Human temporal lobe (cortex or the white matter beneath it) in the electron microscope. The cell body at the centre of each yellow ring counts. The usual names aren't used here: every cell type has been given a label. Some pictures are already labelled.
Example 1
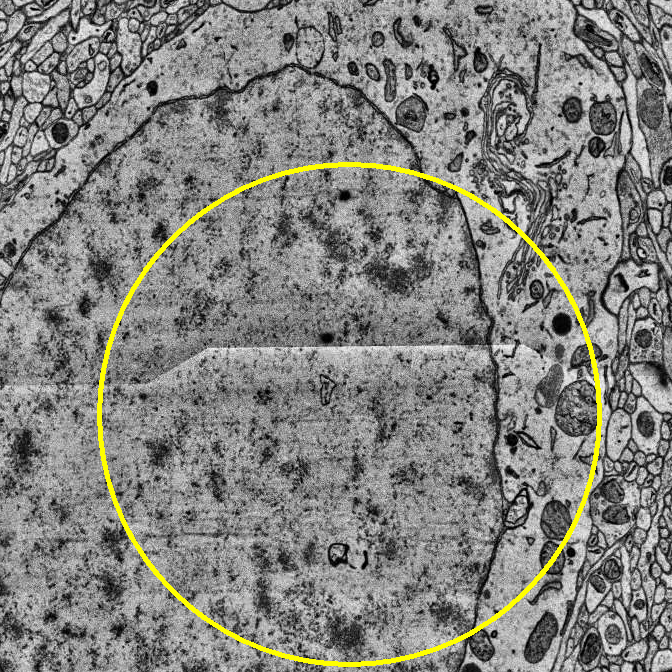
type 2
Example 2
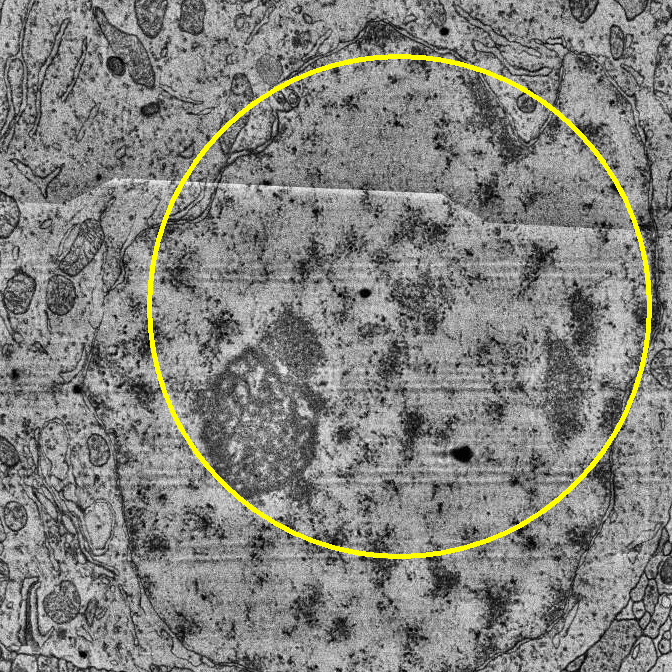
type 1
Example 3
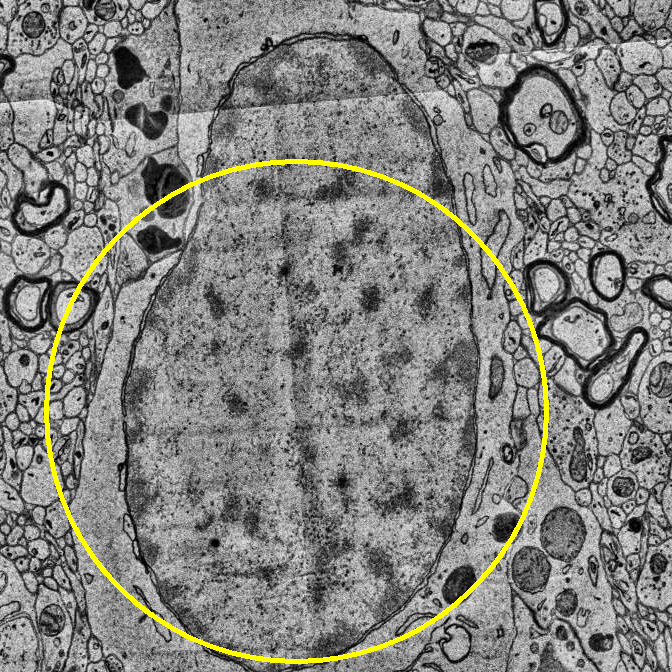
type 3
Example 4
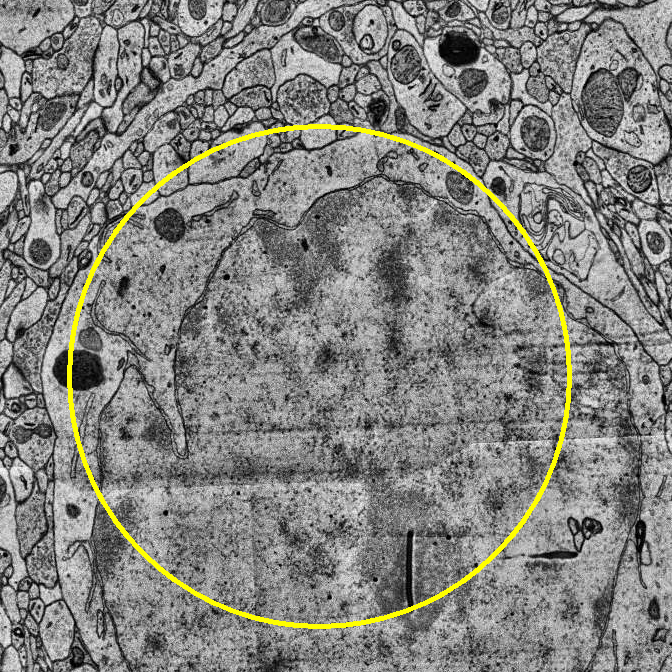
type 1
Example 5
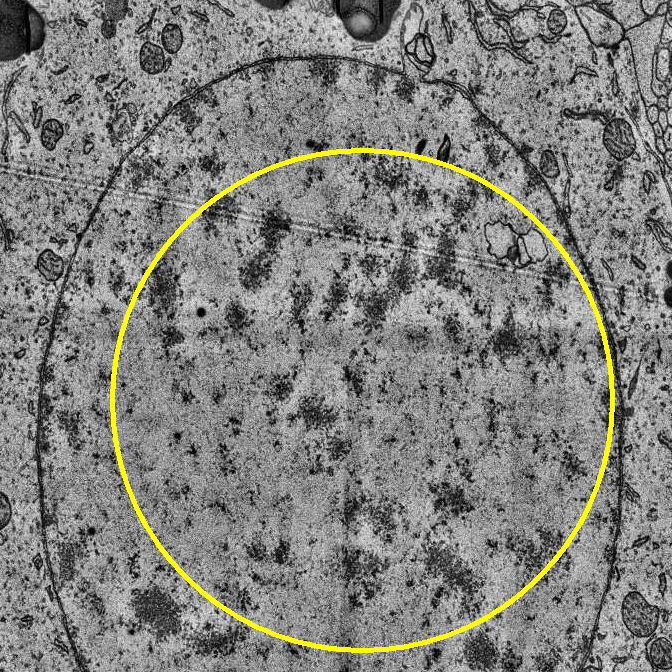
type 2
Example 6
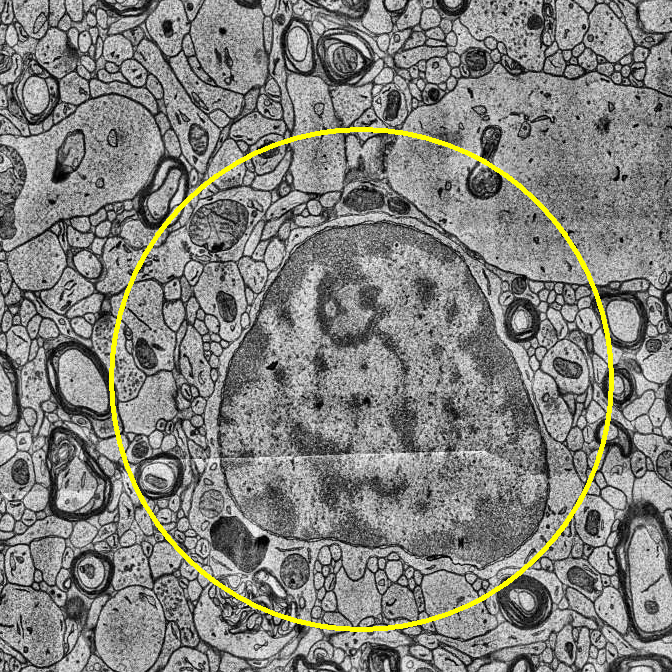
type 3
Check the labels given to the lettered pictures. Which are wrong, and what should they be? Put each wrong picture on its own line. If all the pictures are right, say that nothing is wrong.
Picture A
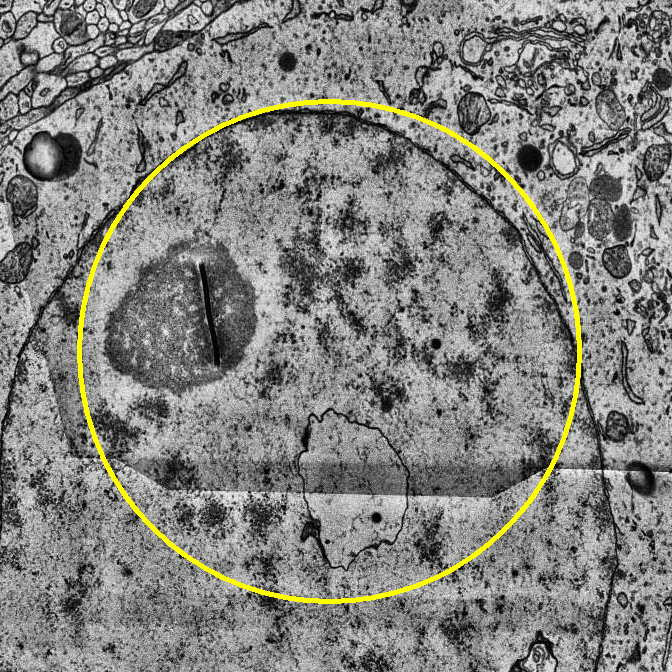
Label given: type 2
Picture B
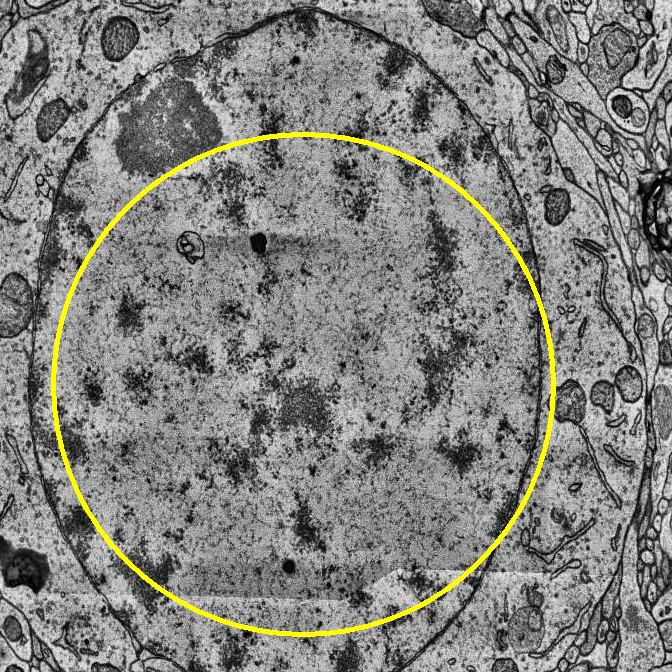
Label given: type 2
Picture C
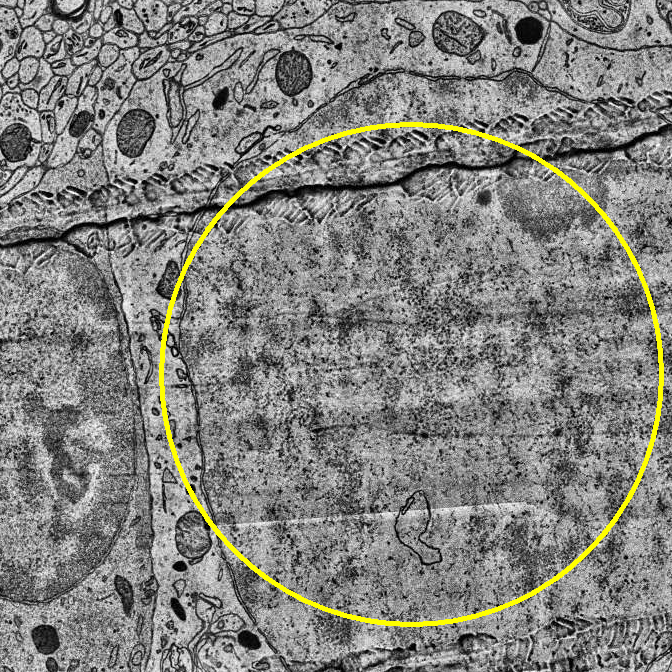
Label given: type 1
Wrong: C (type 1); correct: type 2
